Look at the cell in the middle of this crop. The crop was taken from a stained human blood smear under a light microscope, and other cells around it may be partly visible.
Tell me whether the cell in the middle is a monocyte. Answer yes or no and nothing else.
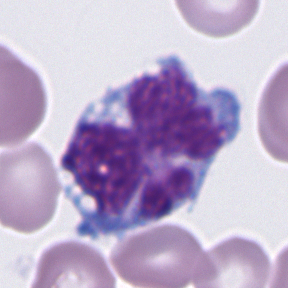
yes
